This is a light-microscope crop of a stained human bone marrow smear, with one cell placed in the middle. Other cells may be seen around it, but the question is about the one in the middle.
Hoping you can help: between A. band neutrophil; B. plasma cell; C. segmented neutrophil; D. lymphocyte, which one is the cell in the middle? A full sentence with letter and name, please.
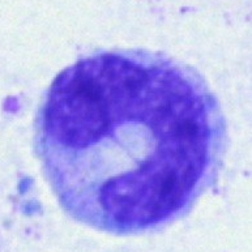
The cell in the middle is a band neutrophil, so option A is correct.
